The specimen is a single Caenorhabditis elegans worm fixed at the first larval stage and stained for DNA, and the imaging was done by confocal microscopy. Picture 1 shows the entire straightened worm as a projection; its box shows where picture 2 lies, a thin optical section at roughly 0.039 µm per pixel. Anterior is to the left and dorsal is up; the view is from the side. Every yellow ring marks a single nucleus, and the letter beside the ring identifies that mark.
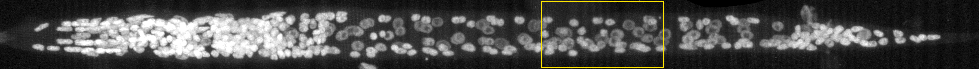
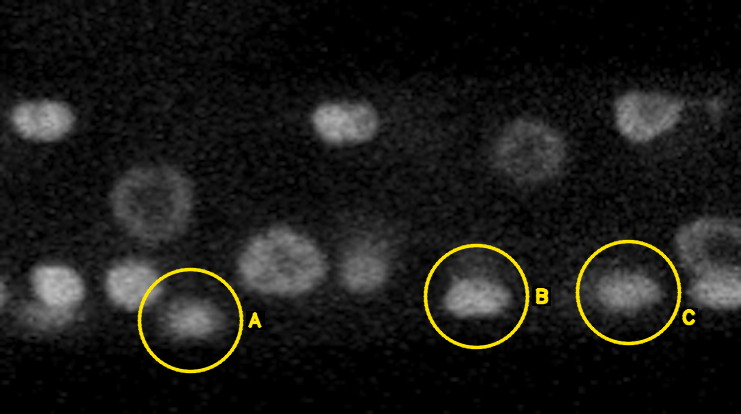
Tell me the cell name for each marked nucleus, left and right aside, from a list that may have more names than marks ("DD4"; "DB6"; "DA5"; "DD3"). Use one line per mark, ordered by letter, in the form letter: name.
A: DA5
B: DD4
C: DB6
